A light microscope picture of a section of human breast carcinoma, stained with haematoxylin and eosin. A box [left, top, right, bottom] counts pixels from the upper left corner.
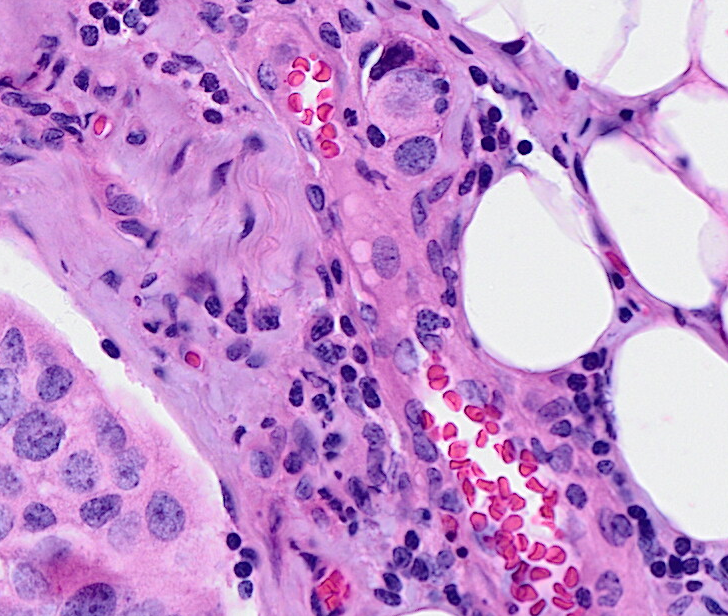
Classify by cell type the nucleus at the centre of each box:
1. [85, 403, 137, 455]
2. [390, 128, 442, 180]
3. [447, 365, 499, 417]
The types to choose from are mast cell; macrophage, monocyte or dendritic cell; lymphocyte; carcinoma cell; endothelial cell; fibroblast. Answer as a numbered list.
1. carcinoma cell
2. carcinoma cell
3. endothelial cell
